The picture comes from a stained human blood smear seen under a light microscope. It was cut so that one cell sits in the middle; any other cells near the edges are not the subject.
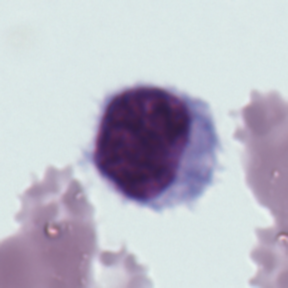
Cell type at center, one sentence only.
For this crop, the central cell is a hairy cell.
